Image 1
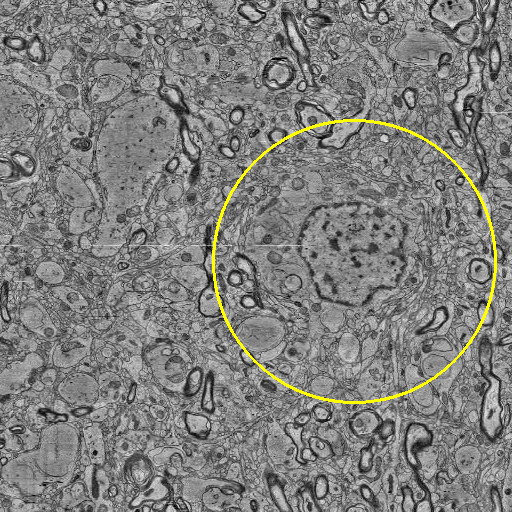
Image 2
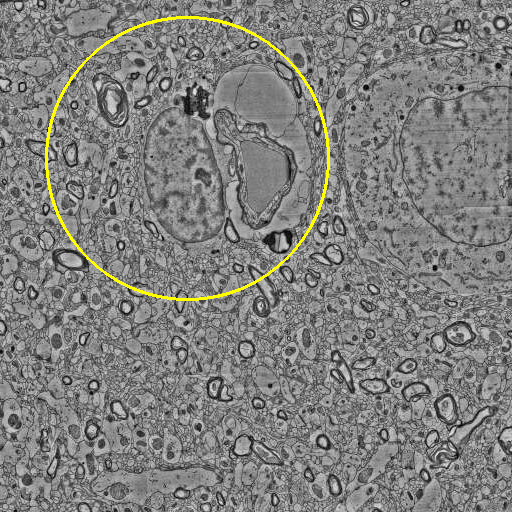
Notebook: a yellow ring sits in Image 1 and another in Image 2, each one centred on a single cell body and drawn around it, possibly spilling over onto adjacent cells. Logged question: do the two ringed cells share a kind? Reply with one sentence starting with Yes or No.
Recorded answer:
No, the centre cells inside the rings of Image 1 and Image 2 are of two kinds.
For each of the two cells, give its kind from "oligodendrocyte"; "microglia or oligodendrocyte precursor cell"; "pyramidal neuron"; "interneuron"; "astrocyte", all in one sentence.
The first picture has an astrocyte in its ring, the second has an oligodendrocyte.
